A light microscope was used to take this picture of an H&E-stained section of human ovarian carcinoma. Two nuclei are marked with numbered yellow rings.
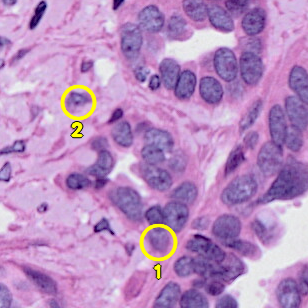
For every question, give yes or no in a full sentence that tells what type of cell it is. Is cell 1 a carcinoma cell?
Yes, and to answer plainly, cell 1 is a carcinoma cell.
